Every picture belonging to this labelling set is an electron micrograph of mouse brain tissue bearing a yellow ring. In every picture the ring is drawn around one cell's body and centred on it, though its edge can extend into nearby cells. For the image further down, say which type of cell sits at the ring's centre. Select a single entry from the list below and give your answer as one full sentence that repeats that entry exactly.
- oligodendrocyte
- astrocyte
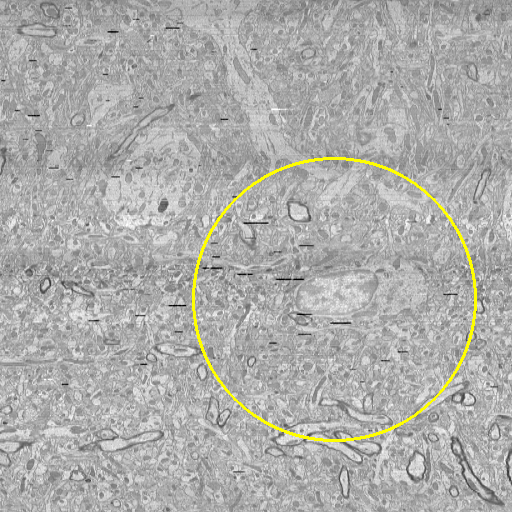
In the picture, an oligodendrocyte is the cell at the centre of the yellow ring.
